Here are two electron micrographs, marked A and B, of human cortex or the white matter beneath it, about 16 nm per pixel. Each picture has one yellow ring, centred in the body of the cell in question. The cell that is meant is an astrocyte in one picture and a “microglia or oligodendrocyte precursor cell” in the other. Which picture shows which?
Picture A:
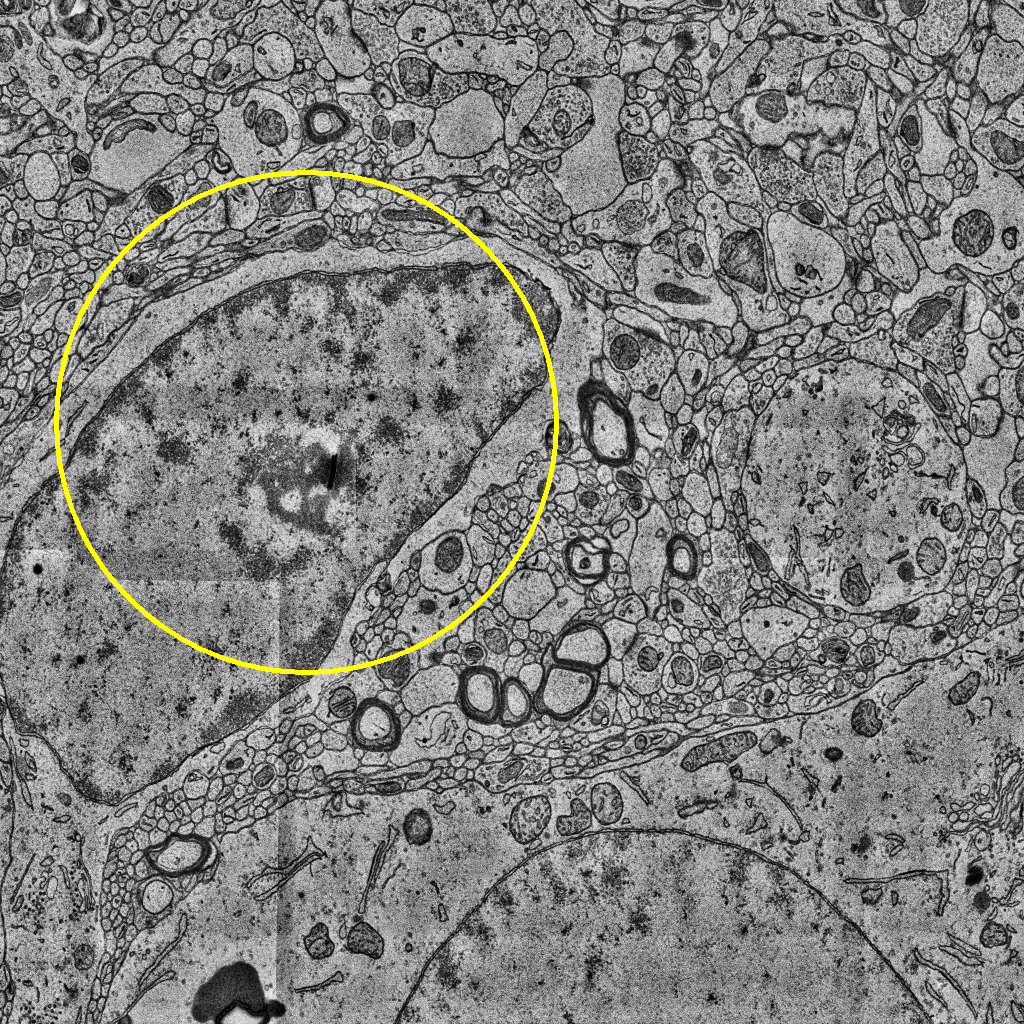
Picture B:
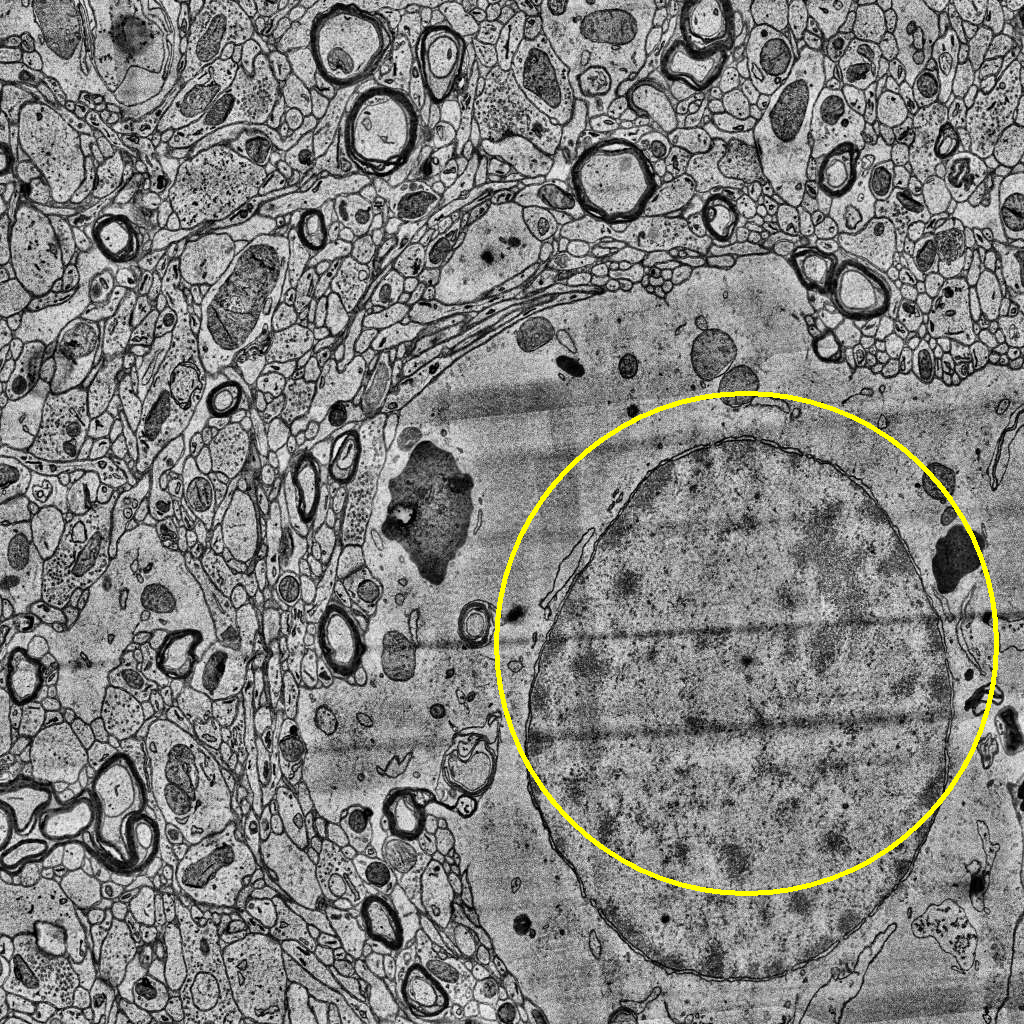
The cell in picture A is a “microglia or oligodendrocyte precursor cell”, and the one in picture B is an astrocyte.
